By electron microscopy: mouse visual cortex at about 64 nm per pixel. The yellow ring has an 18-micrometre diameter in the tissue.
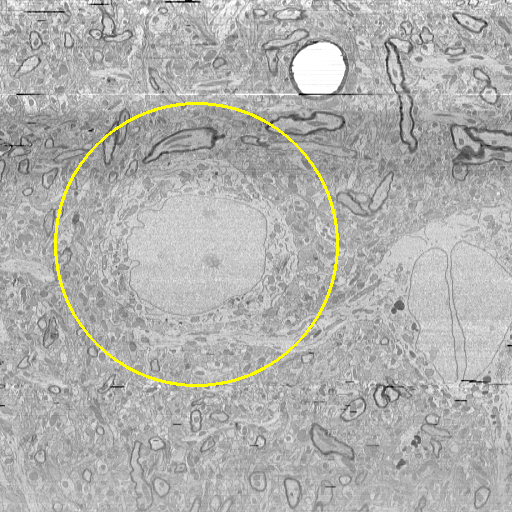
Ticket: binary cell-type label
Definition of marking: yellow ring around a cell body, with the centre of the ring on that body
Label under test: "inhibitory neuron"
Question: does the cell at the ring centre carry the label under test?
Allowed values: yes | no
yes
